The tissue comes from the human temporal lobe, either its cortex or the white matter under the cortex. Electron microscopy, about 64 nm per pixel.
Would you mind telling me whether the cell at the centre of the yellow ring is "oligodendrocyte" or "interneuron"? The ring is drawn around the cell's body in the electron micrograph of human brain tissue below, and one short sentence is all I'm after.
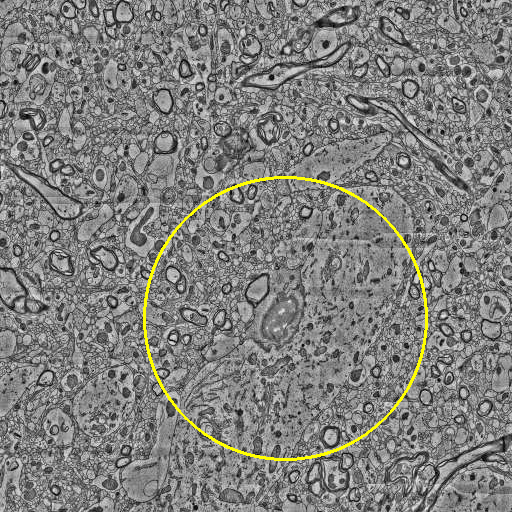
In the centre of the ring lies an oligodendrocyte.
